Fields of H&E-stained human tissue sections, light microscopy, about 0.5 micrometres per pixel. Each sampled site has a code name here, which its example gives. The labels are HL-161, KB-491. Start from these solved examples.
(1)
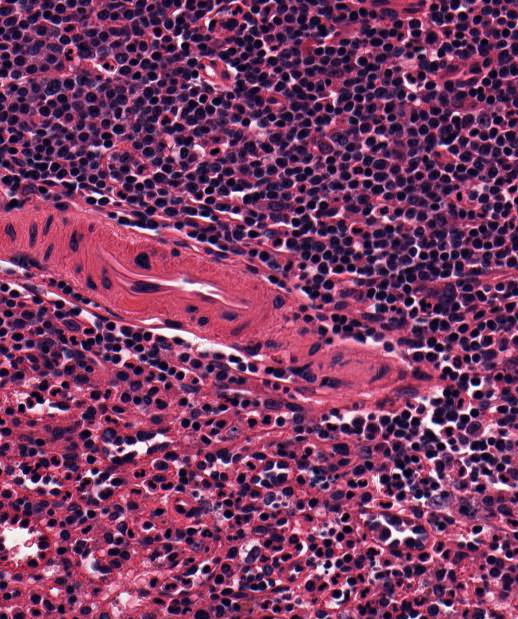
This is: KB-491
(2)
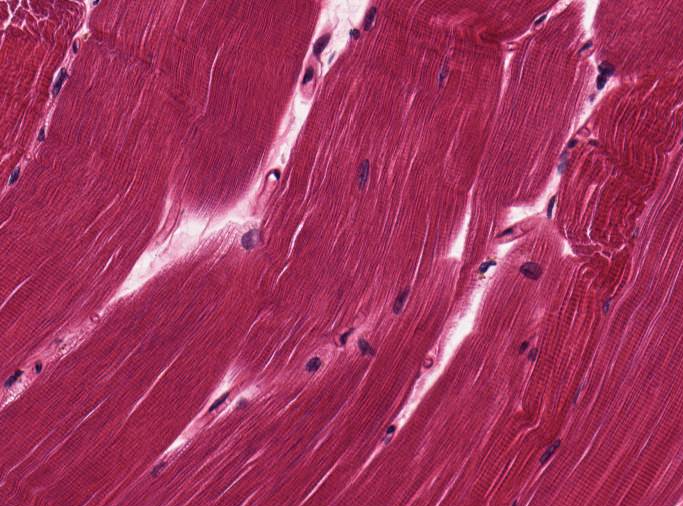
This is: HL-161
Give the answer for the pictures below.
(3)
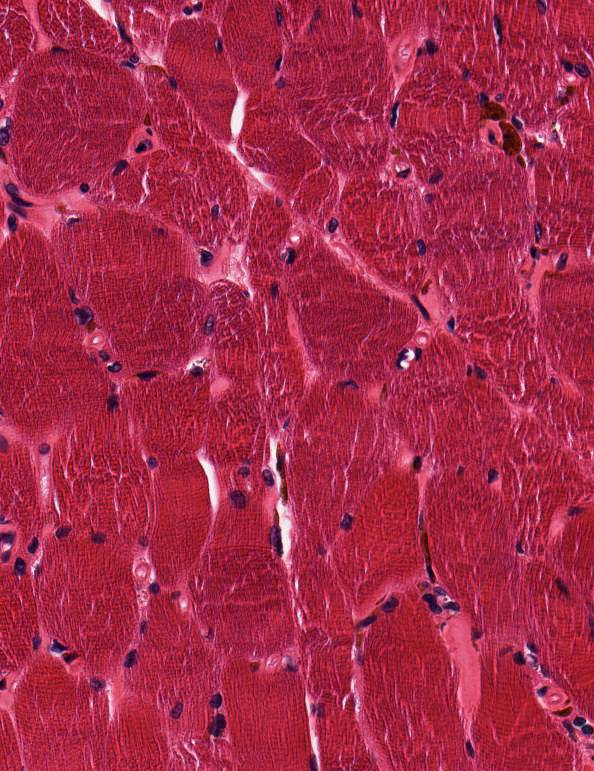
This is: HL-161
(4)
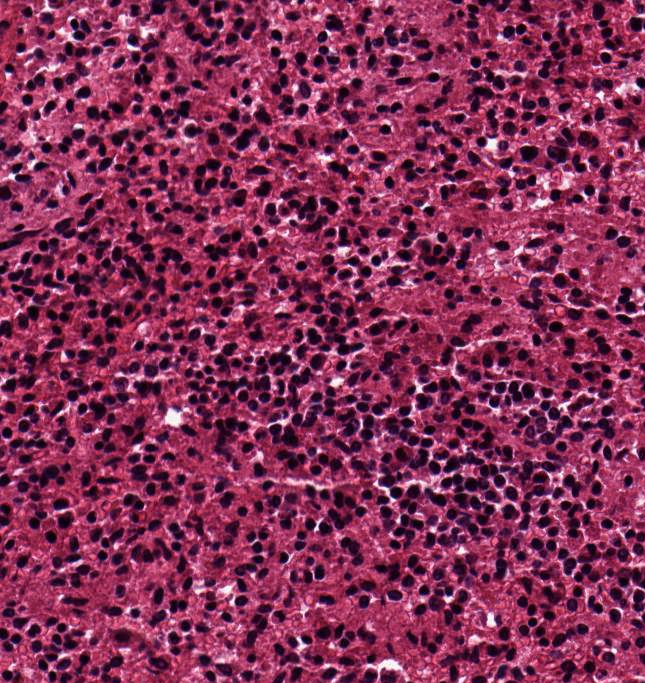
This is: KB-491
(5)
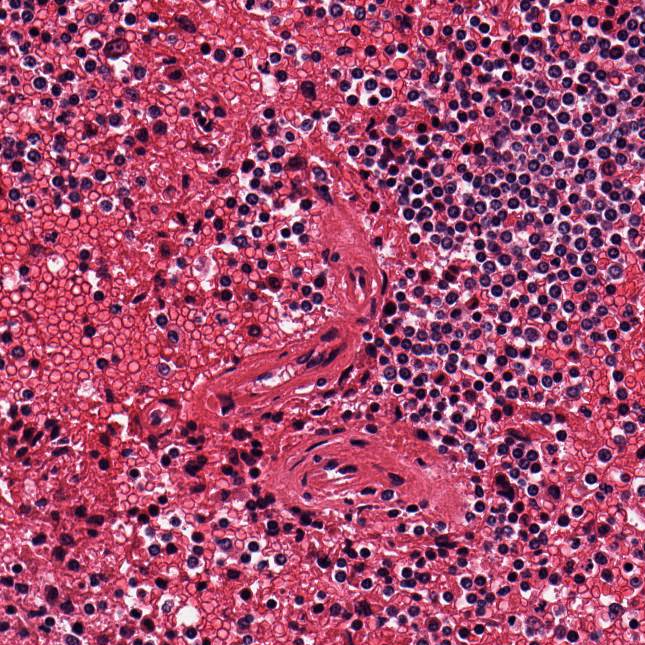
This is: KB-491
